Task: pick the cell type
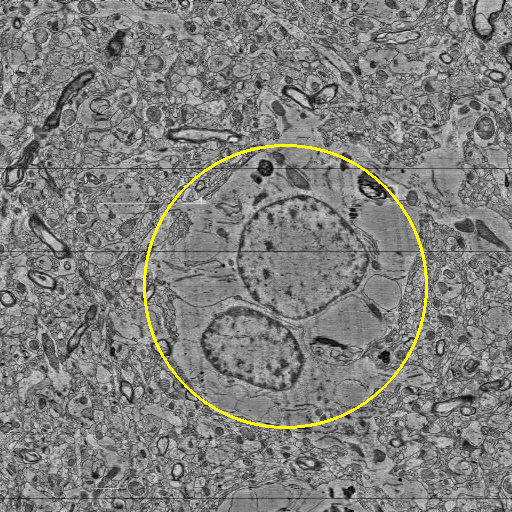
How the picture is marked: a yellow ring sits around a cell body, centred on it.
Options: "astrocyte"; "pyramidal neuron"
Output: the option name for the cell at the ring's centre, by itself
astrocyte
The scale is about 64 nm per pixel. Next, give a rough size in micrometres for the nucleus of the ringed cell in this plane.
The nucleus is approximately 8 micrometers across in this plane.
